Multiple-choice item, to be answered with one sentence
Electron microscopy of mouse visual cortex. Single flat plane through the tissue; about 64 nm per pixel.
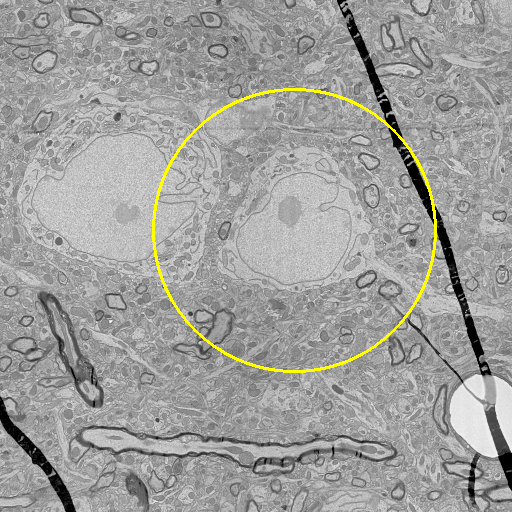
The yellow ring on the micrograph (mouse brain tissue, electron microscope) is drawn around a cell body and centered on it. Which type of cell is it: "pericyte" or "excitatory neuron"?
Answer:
The ring is centered on an excitatory neuron.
